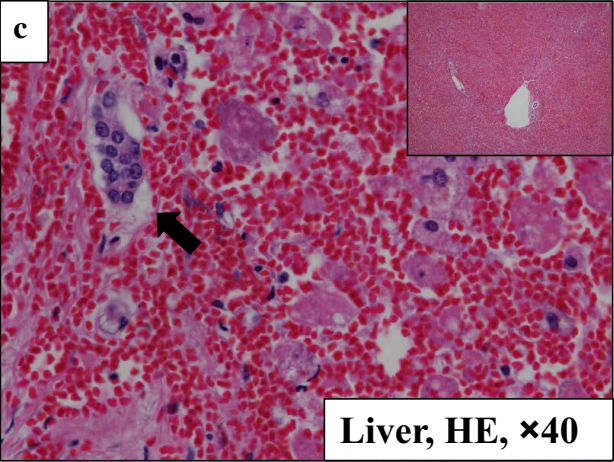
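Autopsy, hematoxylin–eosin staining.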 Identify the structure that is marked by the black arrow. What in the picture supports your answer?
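The tube lies among red blood cells in a loose stroma. That points to this answer: bile ducts.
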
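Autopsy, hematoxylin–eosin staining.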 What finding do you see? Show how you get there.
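Necrotic hepatic tissue. The field is flooded with red blood cells. Scattered pale pink cells have faint or absent nuclei. The normal plate arrangement of liver cells is lost.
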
